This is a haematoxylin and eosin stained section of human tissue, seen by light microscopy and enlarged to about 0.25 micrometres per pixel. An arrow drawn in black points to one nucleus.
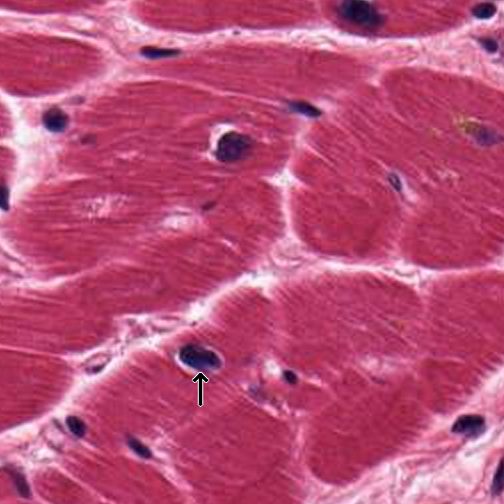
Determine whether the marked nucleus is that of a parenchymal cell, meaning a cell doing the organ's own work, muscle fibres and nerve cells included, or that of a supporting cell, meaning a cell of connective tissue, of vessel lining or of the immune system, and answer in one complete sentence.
It is the nucleus of a cardiomyocyte, a parenchymal cell, that is marked.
